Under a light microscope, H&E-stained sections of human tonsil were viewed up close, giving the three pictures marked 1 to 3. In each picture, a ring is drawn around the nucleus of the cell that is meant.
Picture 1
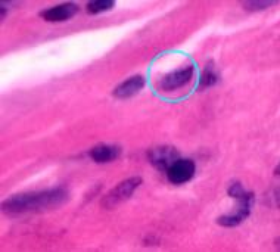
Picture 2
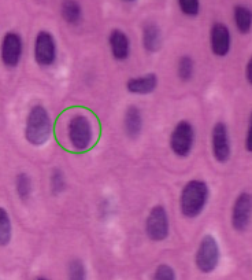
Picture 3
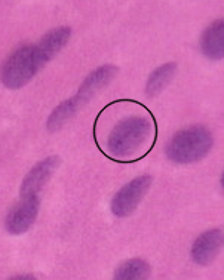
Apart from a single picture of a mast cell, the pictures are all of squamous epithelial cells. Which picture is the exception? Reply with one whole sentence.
It is picture 1 that shows the mast cell.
